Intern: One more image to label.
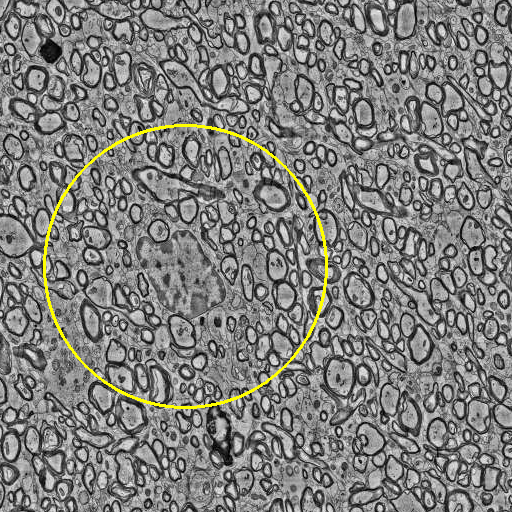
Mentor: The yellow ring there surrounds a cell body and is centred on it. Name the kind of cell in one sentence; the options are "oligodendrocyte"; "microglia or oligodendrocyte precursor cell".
The ring marks the cell body of a microglial cell or oligodendrocyte precursor cell.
